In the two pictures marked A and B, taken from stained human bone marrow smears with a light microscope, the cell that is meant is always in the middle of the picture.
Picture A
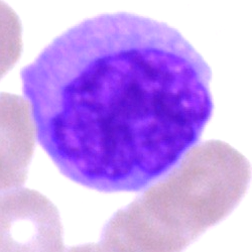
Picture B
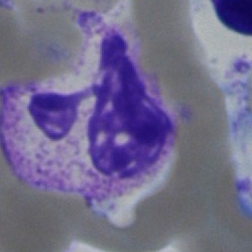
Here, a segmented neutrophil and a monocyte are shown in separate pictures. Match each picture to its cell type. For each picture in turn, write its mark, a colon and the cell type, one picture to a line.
A: monocyte
B: segmented neutrophil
